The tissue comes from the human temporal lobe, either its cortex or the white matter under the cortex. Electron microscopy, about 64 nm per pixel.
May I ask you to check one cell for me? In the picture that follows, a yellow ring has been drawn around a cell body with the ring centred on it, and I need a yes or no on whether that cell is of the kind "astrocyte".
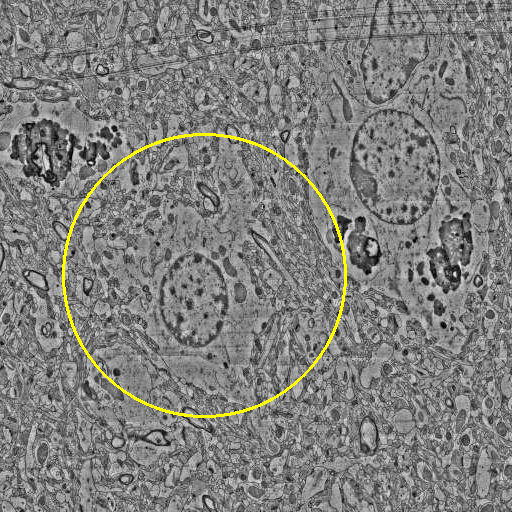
Yes, it is that kind of cell.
